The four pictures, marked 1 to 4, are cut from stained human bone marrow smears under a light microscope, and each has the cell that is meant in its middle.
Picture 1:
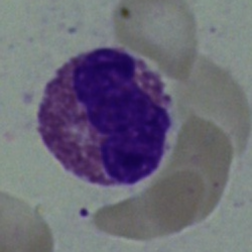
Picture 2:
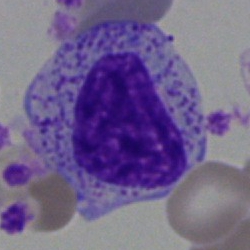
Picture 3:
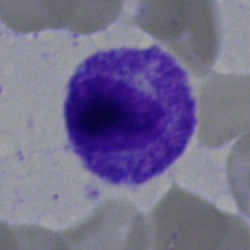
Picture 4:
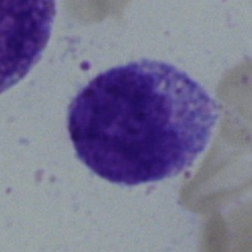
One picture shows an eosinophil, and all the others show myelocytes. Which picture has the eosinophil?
1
